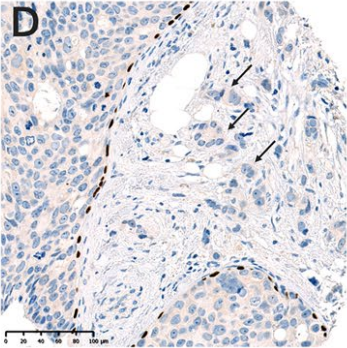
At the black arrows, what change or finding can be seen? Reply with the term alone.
Microinvasion.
